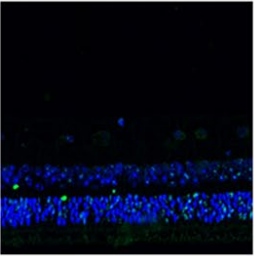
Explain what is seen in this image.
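Cross-section of retinal tissue with nuclei in blue arranged in two parallel dense bands, the lower band thicker and more tightly packed than the upper. Above the bands a sparse row of isolated round nuclei lies in an otherwise dark field. Scattered bright green nuclei sit within both bands, a few strongly labelled, others faintly.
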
